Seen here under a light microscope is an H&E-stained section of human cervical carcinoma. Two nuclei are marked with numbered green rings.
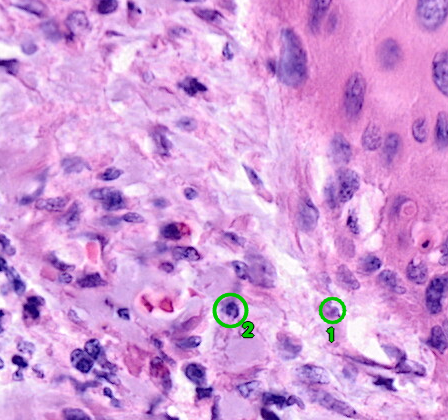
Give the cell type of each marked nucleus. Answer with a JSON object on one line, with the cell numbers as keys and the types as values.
{"1": "fibroblast", "2": "lymphocyte"}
